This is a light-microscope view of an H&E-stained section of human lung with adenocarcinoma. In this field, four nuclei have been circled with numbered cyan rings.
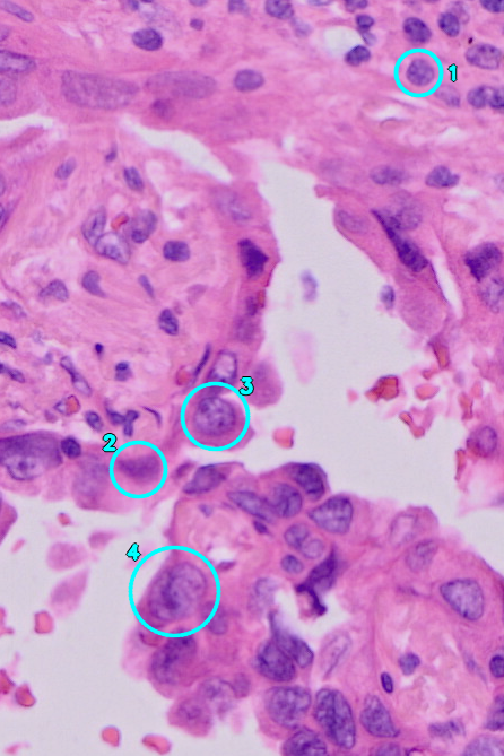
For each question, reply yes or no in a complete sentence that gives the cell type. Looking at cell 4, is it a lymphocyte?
No, instead of a lymphocyte, the cell with number 4 is a carcinoma cell.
